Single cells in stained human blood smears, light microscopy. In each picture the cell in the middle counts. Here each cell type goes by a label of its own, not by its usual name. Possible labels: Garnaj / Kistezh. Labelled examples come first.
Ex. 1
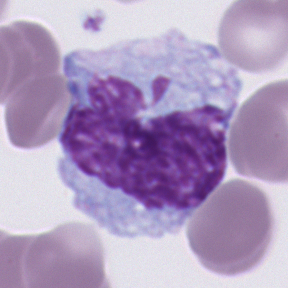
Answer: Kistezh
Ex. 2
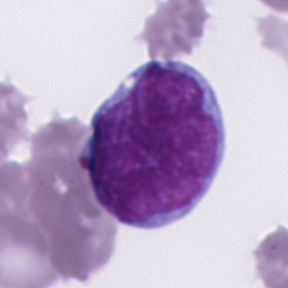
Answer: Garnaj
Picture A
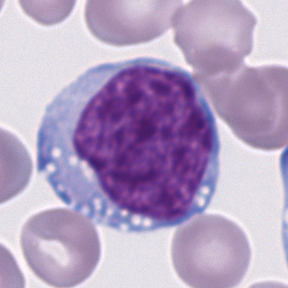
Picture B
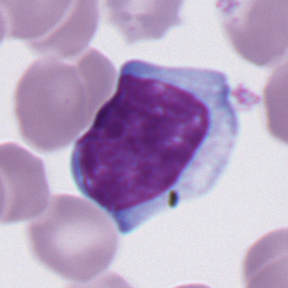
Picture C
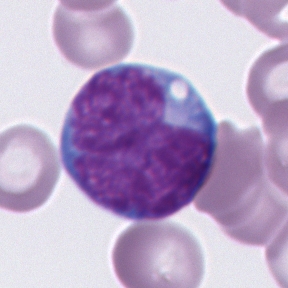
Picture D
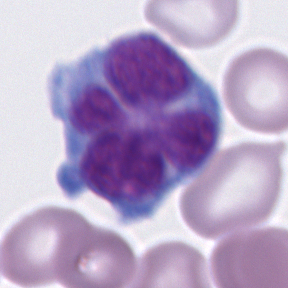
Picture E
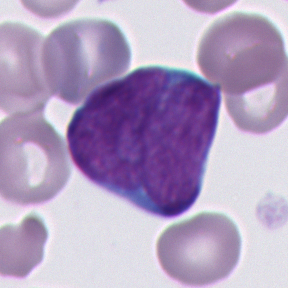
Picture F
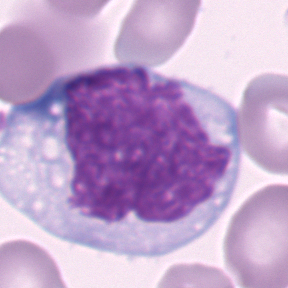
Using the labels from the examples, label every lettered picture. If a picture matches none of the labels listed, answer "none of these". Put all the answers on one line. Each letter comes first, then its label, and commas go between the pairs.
A Garnaj, B none of these, C Garnaj, D Garnaj, E Garnaj, F Kistezh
